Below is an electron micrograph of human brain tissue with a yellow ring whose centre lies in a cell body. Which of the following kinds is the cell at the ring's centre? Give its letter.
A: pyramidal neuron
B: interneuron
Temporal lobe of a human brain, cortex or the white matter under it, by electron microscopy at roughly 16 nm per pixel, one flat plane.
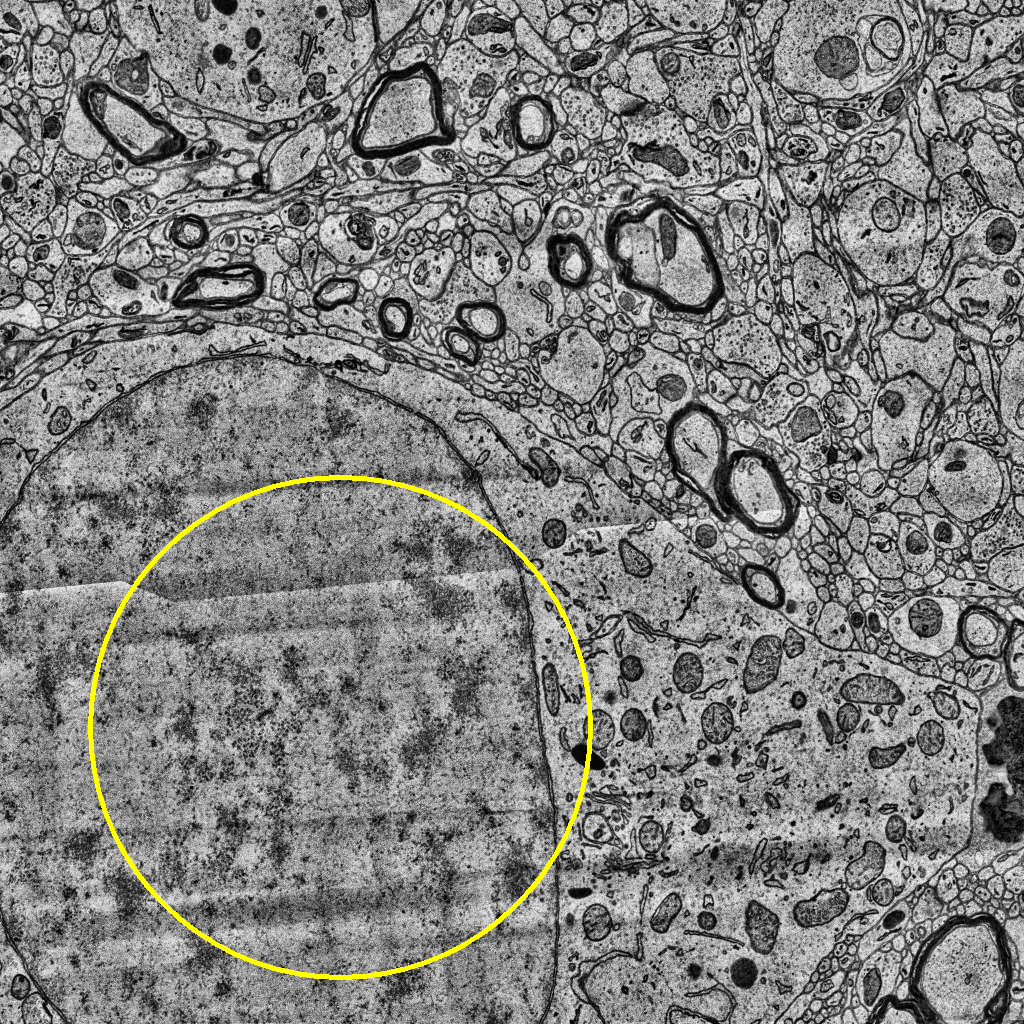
A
